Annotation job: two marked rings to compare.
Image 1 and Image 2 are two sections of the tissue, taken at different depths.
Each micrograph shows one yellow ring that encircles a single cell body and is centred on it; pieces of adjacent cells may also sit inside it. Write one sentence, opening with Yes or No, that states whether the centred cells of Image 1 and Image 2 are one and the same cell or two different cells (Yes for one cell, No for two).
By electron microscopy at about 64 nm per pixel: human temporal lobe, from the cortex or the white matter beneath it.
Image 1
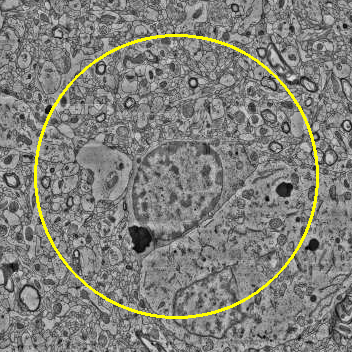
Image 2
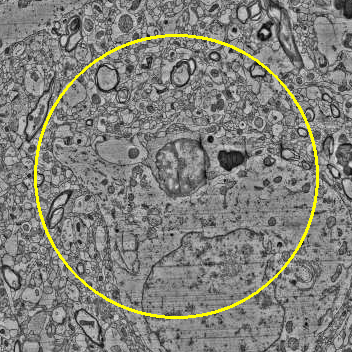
Yes, both yellow rings mark one and the same cell.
